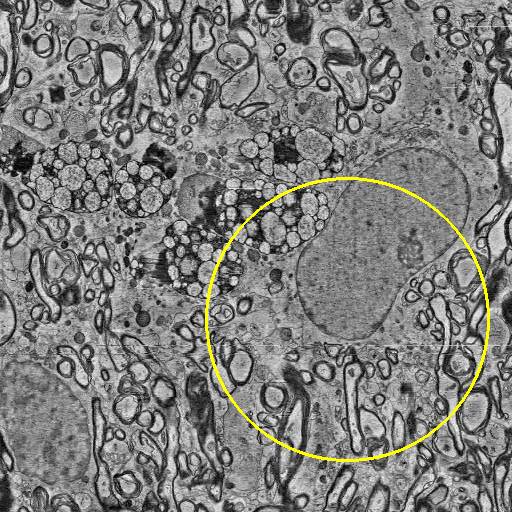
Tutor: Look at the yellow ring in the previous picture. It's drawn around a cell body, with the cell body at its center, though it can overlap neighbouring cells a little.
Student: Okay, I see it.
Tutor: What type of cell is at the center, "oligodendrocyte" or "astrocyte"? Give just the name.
astrocyte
